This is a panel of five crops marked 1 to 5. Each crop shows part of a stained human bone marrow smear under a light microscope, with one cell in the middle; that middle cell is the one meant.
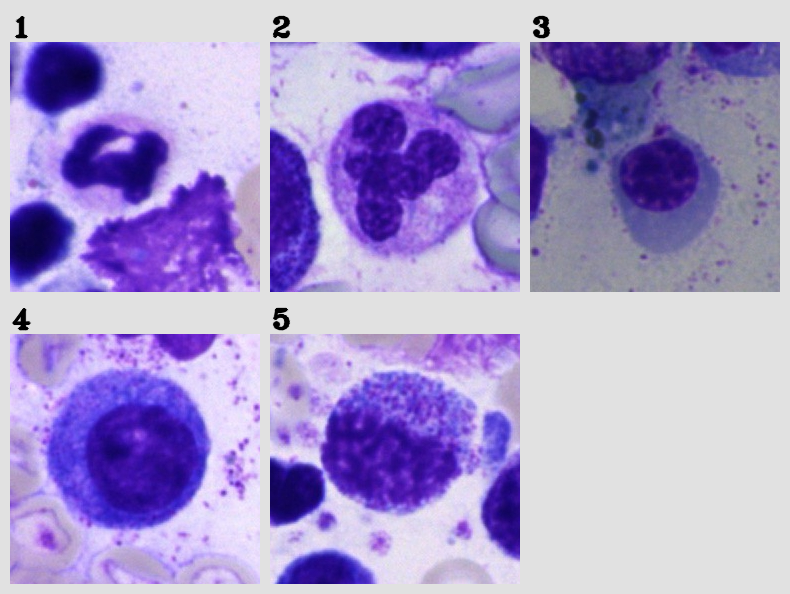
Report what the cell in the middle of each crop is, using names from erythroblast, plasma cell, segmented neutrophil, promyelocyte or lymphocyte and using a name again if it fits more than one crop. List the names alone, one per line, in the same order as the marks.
segmented neutrophil
segmented neutrophil
erythroblast
promyelocyte
promyelocyte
